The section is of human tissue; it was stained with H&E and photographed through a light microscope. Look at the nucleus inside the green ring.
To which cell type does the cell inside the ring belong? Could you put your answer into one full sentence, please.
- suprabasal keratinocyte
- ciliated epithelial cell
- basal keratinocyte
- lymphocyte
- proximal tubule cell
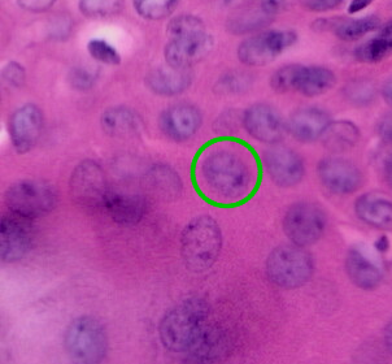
The identity of the cell inside the ring is that of a suprabasal keratinocyte.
